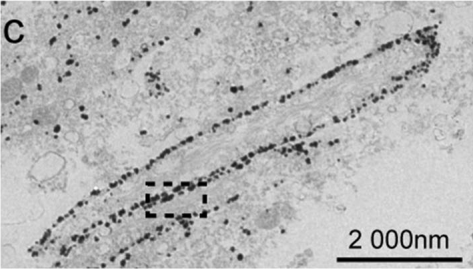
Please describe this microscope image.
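Dense black particles line both sides of the process in parallel rows that follow its bounding membrane. The core of the process between the rows is pale and largely free of particles. The surrounding cytoplasm holds scattered vesicles and small dark granules.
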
